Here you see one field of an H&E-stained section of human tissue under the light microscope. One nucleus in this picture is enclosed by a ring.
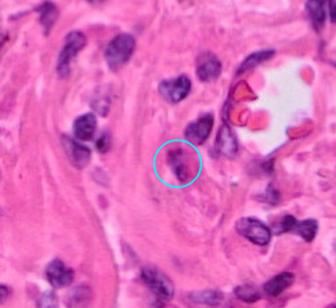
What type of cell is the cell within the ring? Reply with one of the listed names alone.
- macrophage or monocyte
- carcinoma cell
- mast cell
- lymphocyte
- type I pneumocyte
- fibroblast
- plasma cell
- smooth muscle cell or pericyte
plasma cell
